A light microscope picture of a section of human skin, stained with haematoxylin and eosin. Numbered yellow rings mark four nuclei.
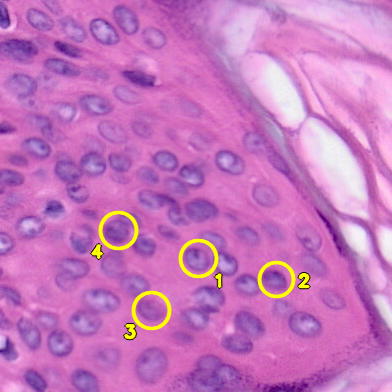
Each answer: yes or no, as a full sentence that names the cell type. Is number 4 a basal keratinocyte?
Yes, in the section, number 4 is a basal keratinocyte.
